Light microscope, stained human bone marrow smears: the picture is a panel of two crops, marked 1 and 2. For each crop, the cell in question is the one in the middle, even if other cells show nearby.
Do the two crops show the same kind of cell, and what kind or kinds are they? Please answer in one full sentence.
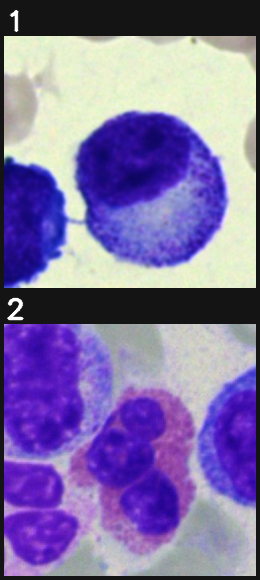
No: a myelocyte sits in crop 1, and an eosinophil sits in crop 2.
